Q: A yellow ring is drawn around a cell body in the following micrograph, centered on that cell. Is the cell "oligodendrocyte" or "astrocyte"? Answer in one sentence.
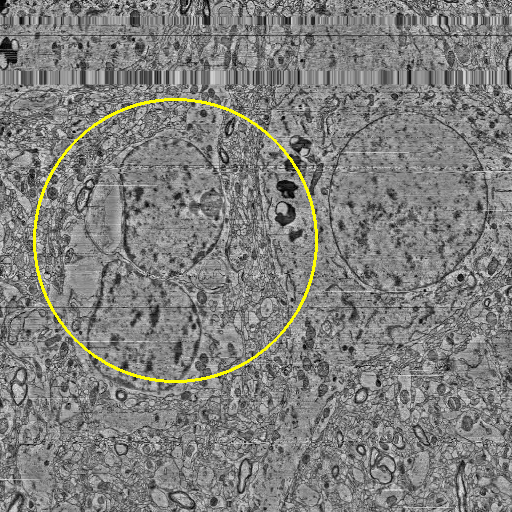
The cell in the center of the ring is an astrocyte.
